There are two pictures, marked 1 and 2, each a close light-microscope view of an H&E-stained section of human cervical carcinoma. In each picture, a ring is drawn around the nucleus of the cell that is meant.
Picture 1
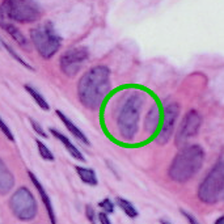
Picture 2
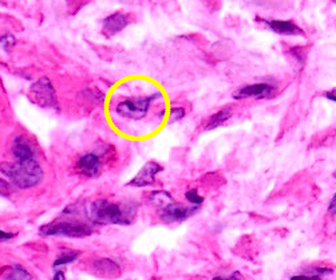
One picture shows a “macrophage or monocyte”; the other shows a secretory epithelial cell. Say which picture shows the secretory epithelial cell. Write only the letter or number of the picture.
1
